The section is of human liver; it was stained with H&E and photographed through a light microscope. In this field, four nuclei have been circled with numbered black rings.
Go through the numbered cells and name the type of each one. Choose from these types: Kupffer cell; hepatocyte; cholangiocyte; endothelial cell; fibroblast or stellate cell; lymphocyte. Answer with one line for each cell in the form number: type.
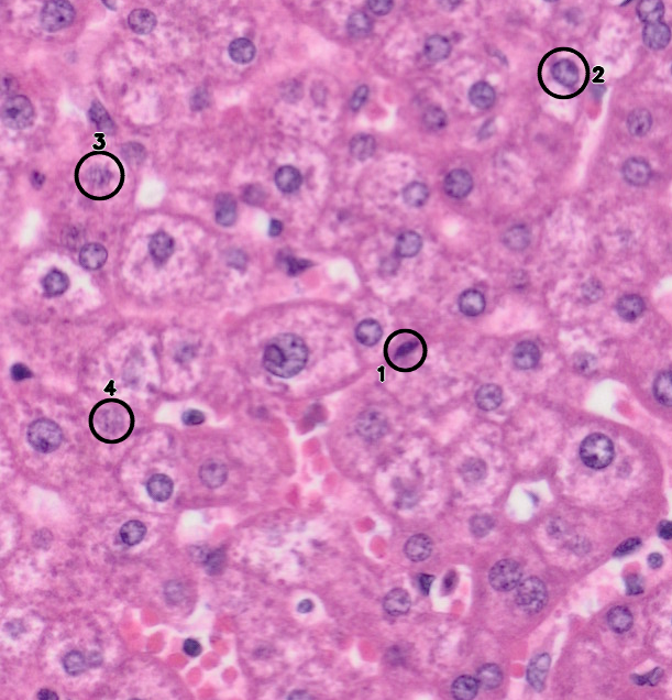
1: fibroblast or stellate cell
2: hepatocyte
3: hepatocyte
4: hepatocyte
